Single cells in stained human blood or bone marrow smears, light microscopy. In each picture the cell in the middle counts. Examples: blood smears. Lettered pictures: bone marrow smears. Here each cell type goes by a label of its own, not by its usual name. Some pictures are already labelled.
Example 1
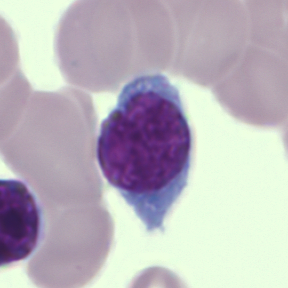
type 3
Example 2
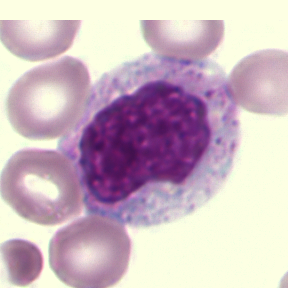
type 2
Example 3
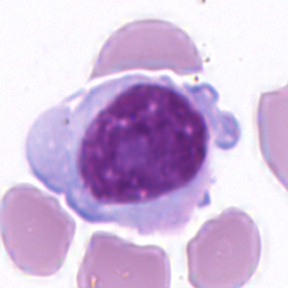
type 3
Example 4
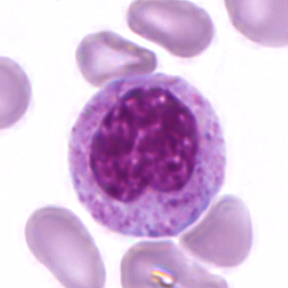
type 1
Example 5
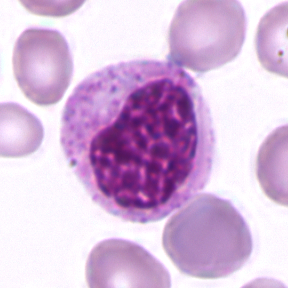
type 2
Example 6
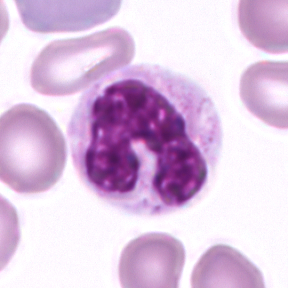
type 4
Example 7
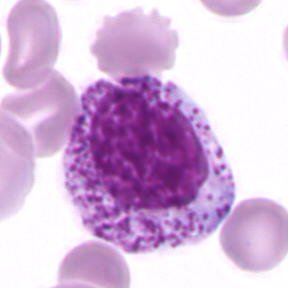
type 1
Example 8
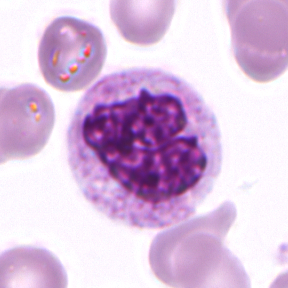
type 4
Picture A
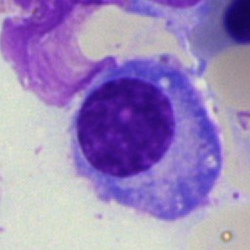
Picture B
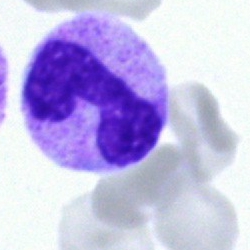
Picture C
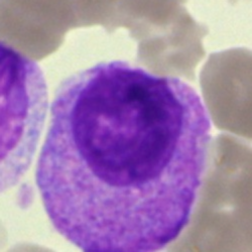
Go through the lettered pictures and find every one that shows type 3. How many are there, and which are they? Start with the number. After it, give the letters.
Count: 1 (A)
